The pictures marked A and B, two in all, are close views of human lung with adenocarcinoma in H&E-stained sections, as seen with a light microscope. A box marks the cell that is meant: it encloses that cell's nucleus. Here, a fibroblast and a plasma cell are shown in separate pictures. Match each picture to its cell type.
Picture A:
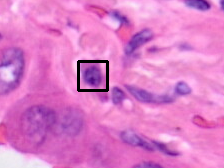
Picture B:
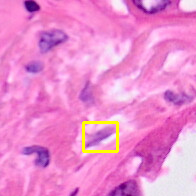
A: plasma cell
B: fibroblast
